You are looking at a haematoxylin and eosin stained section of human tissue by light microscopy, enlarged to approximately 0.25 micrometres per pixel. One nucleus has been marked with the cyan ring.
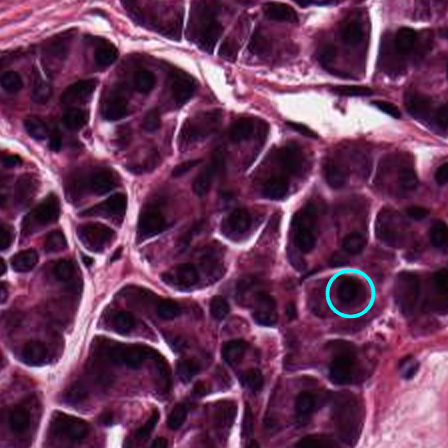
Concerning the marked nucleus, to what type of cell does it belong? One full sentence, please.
The marked nucleus is identified as belonging to a pancreatic acinar cell.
